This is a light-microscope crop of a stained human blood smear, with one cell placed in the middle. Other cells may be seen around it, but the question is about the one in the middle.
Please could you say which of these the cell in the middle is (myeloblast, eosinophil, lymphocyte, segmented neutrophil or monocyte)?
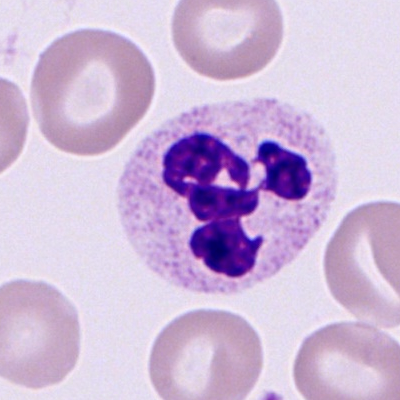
segmented neutrophil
